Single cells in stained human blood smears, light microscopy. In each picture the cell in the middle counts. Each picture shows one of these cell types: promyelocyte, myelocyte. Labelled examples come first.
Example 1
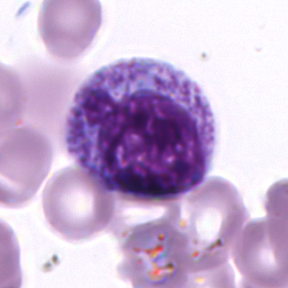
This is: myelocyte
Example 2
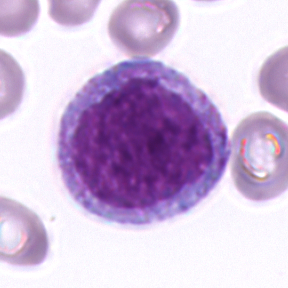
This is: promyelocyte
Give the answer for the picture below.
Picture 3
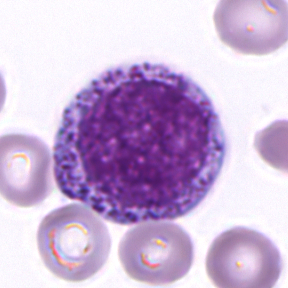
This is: myelocyte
